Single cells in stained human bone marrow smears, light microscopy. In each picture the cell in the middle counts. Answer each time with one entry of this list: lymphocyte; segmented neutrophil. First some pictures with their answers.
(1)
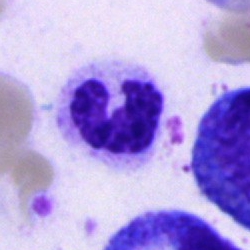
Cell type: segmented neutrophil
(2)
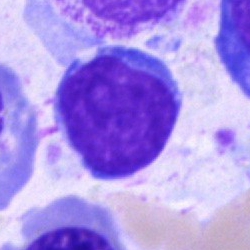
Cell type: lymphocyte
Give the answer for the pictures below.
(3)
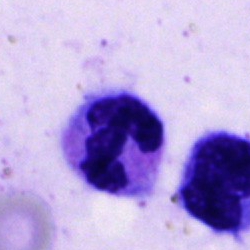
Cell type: segmented neutrophil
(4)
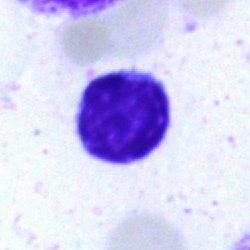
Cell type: lymphocyte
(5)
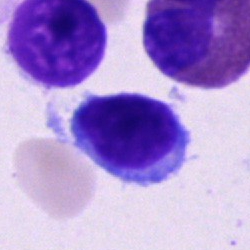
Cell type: lymphocyte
